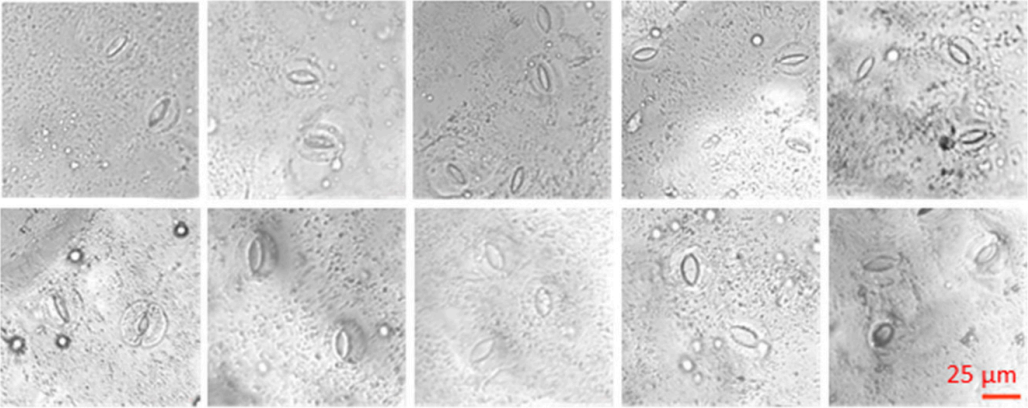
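These unstained grey images show a leaf surface with stomata scattered across it. A narrow slit-shaped pore runs along the middle between each pair. Around them, the surrounding surface cells show only faint outlines, with small round bright droplets and specks lying here and there on the surface.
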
